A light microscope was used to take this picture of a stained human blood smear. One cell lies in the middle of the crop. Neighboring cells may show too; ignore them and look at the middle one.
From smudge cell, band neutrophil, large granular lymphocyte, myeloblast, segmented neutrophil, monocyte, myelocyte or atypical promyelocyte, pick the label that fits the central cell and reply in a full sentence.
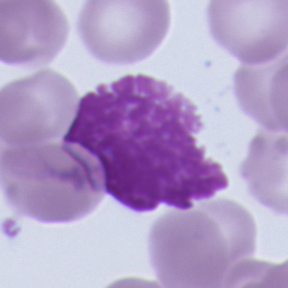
The cell found in the middle of this crop is a smudge cell.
